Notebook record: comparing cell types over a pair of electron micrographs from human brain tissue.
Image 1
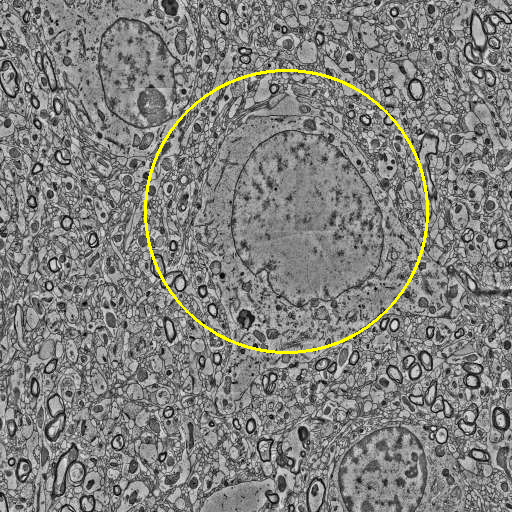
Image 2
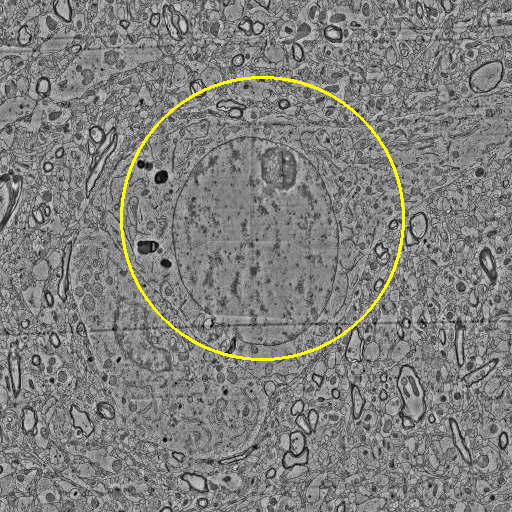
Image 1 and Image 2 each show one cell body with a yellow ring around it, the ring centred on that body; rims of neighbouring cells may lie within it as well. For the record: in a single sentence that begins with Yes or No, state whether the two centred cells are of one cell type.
Yes, one cell type is shared by the centred cells of Image 1 and Image 2.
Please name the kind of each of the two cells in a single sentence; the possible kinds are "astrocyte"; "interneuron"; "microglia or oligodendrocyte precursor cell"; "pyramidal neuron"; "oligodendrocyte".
Each of the two pictures has a pyramidal neuron at the ring centre.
